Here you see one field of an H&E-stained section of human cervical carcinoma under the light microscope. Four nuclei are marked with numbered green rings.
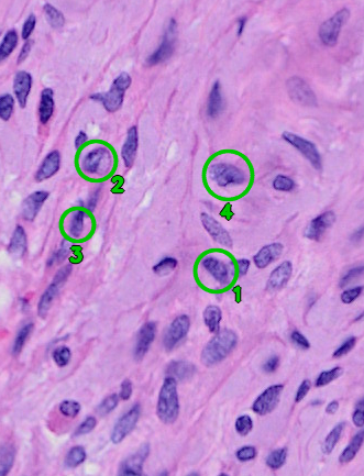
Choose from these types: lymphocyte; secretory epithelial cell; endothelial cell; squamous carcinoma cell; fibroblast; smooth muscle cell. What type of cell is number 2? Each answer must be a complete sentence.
Identified as a smooth muscle cell is the cell bearing the number 2.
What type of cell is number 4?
The marked cell with the number 4 is recognised as a fibroblast.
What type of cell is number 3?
The numeral 3 marks an endothelial cell in this section.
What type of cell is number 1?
The numeral 1 marks a fibroblast in this section.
